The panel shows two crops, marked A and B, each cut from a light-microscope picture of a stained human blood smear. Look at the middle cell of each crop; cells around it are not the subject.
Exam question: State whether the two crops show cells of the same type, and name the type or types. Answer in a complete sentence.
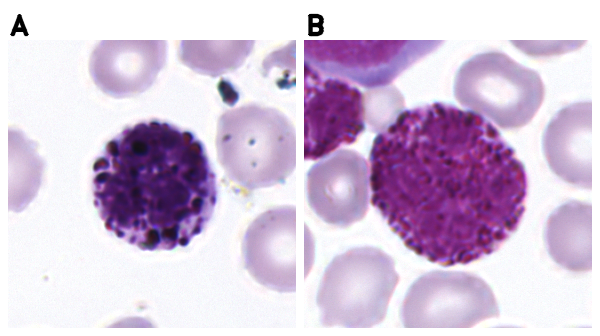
Yes, with regard to both crops, the central cells are basophils.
